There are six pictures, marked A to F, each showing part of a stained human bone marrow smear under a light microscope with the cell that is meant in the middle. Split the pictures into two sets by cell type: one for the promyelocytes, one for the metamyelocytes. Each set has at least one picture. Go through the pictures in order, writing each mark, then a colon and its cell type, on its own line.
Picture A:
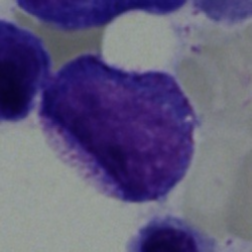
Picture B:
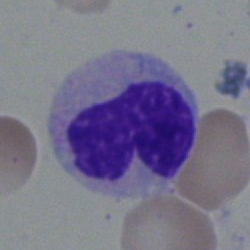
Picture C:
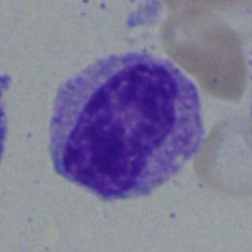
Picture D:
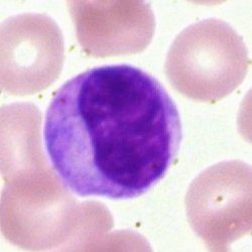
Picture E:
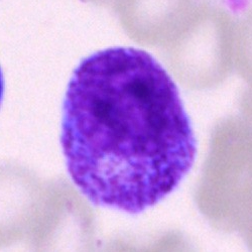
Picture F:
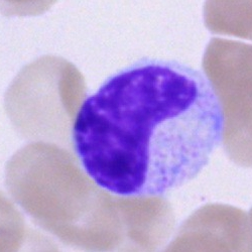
A: promyelocyte
B: metamyelocyte
C: metamyelocyte
D: metamyelocyte
E: promyelocyte
F: metamyelocyte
